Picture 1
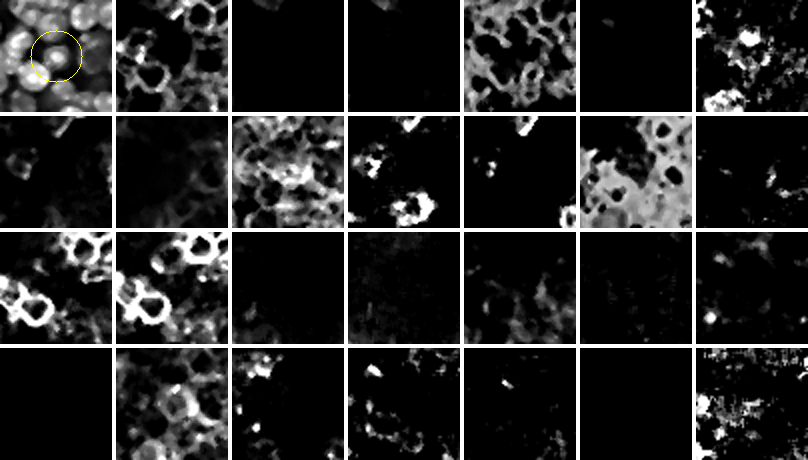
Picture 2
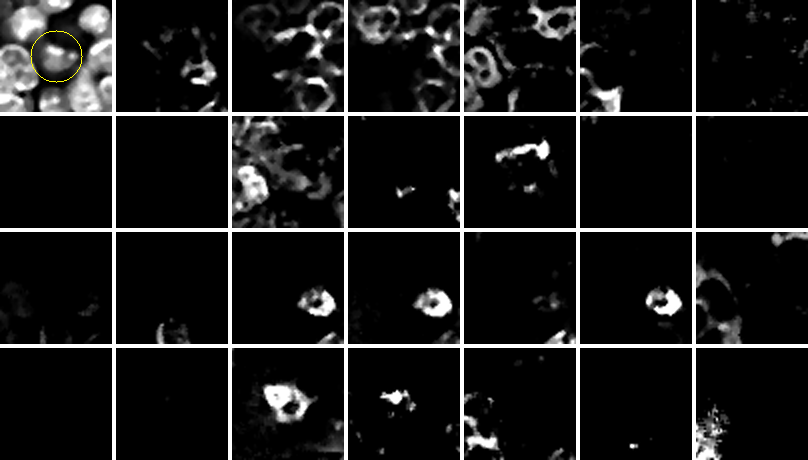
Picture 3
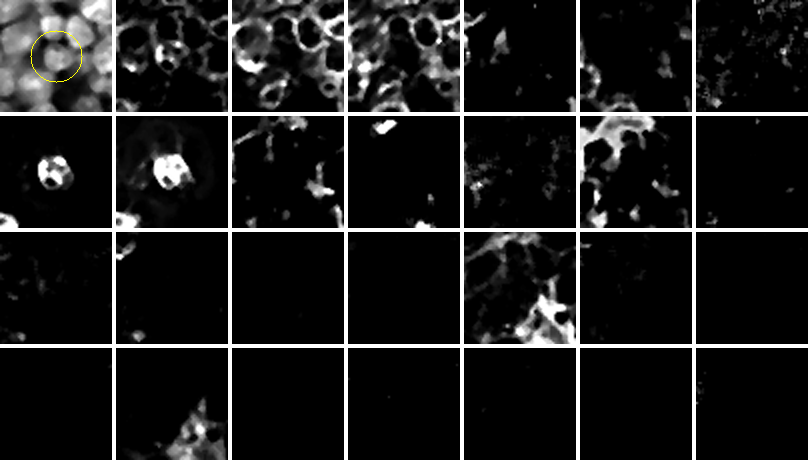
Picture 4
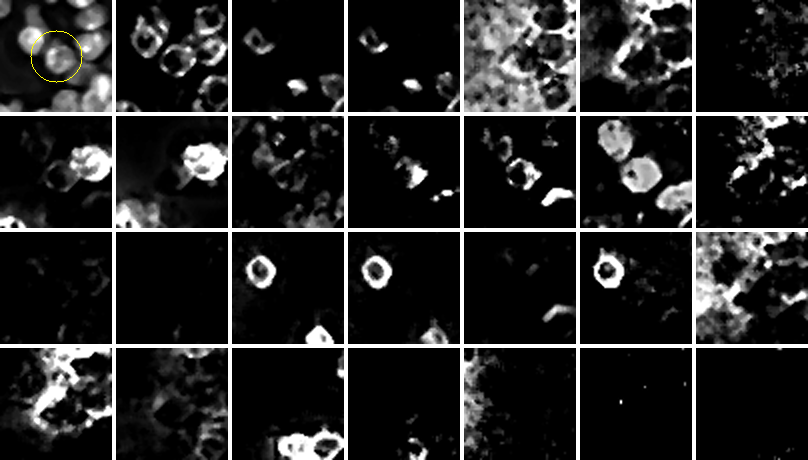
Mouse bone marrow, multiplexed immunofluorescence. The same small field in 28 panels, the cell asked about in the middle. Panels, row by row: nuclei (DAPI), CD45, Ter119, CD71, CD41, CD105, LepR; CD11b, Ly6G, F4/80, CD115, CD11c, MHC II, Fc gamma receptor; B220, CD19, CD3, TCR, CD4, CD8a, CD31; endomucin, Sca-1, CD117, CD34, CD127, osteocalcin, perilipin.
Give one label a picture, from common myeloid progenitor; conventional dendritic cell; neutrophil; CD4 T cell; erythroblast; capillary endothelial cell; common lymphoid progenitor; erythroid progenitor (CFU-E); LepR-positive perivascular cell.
(1) LepR-positive perivascular cell
(2) common myeloid progenitor
(3) neutrophil
(4) capillary endothelial cell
